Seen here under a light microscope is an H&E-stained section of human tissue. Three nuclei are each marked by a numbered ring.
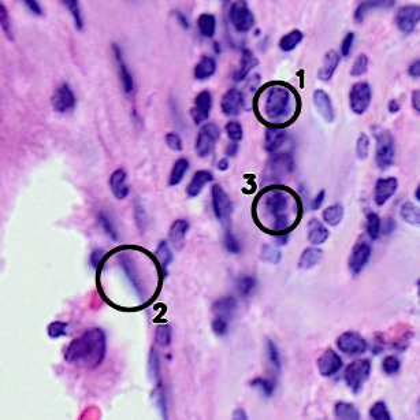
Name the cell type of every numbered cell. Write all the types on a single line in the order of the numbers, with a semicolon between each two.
lymphocyte; endothelial cell; lymphocyte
